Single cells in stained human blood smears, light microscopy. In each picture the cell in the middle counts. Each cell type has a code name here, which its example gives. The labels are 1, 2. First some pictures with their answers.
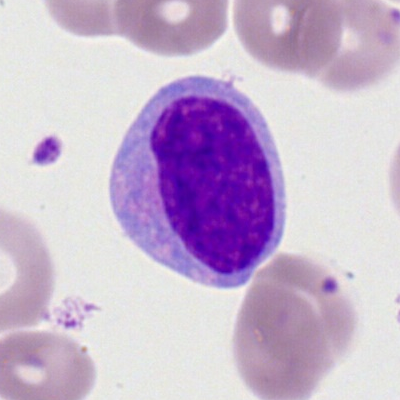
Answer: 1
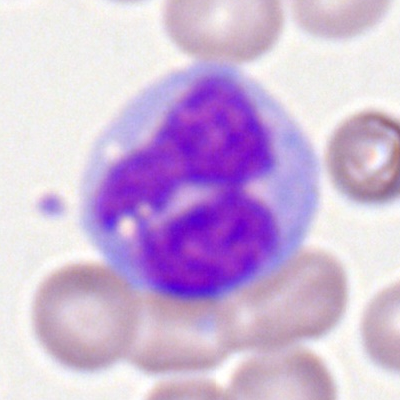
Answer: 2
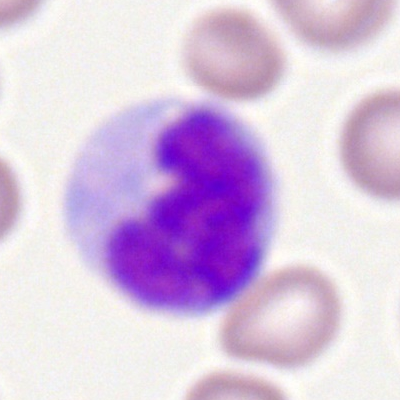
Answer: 2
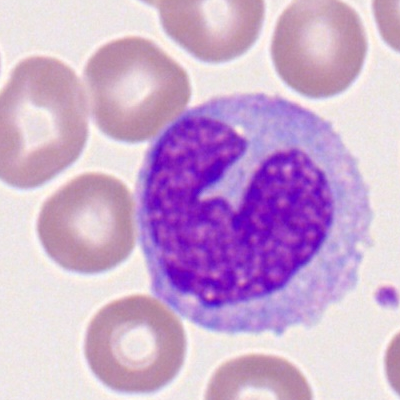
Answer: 2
